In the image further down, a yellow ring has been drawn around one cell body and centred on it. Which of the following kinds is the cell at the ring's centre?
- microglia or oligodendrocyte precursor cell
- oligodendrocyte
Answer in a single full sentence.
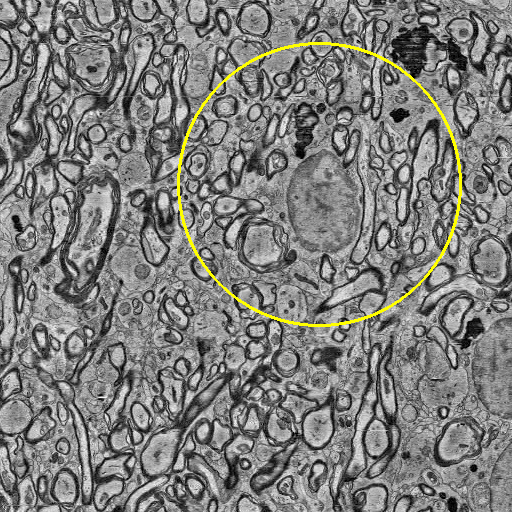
In the picture, the cell sitting at the centre of the yellow ring is an oligodendrocyte.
